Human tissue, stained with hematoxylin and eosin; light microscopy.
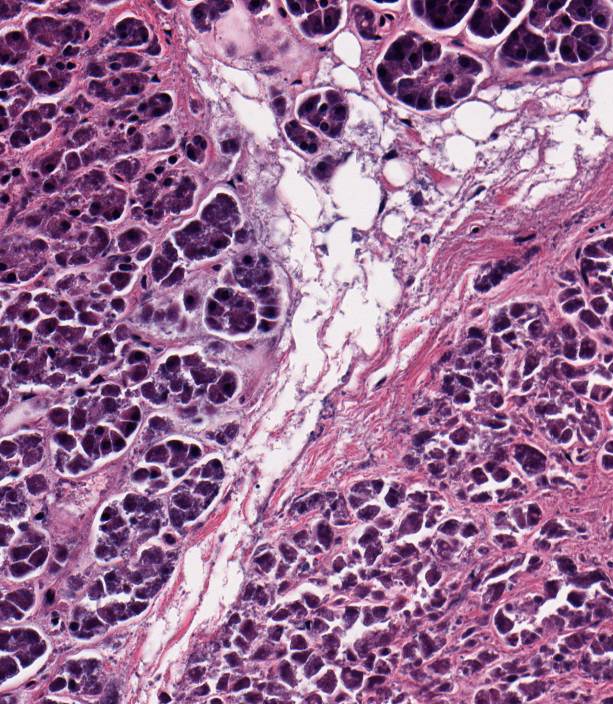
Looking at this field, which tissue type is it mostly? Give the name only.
exocrine pancreas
